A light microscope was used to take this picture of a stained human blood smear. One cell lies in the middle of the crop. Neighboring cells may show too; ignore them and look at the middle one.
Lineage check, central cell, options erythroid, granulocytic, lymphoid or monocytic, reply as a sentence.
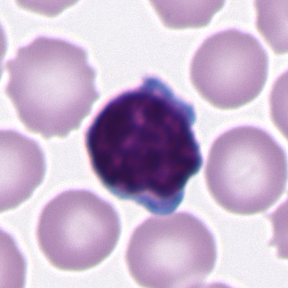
The cell at the center belongs, by lineage, to the lymphoid line.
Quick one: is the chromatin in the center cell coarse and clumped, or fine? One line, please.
This nucleus has coarsely clumped chromatin.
